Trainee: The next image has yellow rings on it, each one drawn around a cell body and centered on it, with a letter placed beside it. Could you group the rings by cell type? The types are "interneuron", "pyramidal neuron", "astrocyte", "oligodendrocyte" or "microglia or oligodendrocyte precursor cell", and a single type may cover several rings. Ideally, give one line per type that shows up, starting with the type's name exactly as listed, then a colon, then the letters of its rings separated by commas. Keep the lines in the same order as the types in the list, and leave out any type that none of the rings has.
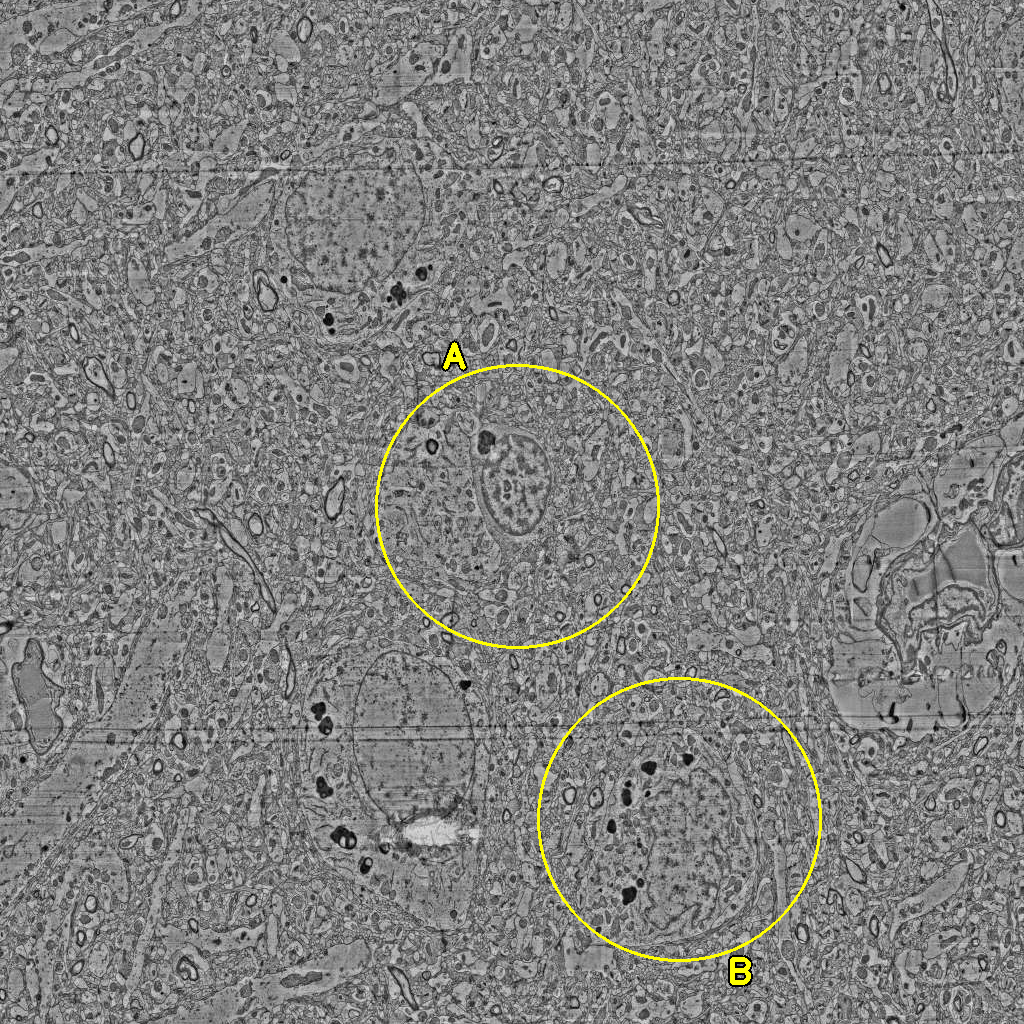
interneuron: B
oligodendrocyte: A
